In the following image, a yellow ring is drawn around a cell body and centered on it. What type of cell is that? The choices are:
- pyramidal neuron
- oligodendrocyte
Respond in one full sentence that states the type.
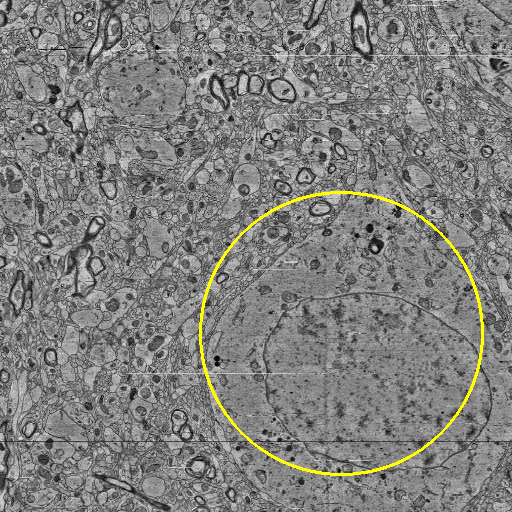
The cell at the center of the yellow ring in the image is a pyramidal neuron.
